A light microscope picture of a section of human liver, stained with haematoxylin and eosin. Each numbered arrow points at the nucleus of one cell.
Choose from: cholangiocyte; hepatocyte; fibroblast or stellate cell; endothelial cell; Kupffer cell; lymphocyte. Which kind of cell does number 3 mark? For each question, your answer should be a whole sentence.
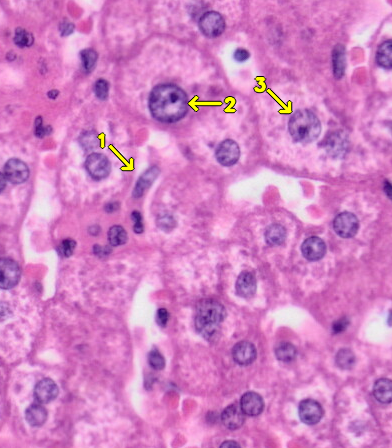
The nucleus labelled 3 belongs to a hepatocyte.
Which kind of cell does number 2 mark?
Among the marked nuclei, number 2 belongs to a hepatocyte.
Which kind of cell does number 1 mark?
The cell carrying label 1 is identified as a Kupffer cell.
